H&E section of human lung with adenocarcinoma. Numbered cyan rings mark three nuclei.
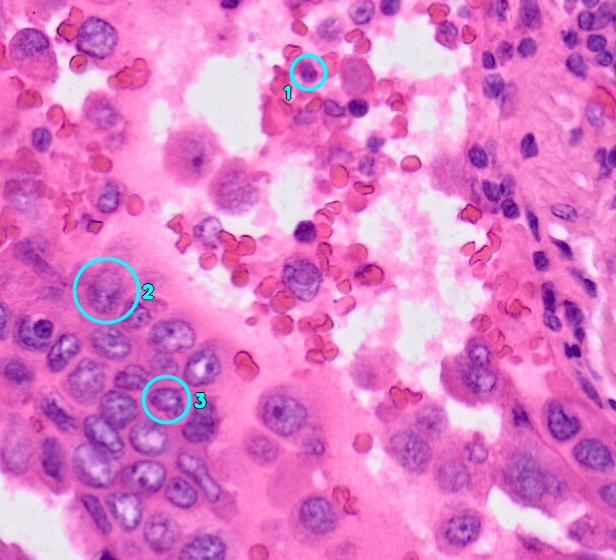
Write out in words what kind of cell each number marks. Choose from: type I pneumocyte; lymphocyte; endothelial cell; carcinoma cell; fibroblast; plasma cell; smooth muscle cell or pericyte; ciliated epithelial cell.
Cell 1 is a lymphocyte, cell 2 is a carcinoma cell and cell 3 is a carcinoma cell.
